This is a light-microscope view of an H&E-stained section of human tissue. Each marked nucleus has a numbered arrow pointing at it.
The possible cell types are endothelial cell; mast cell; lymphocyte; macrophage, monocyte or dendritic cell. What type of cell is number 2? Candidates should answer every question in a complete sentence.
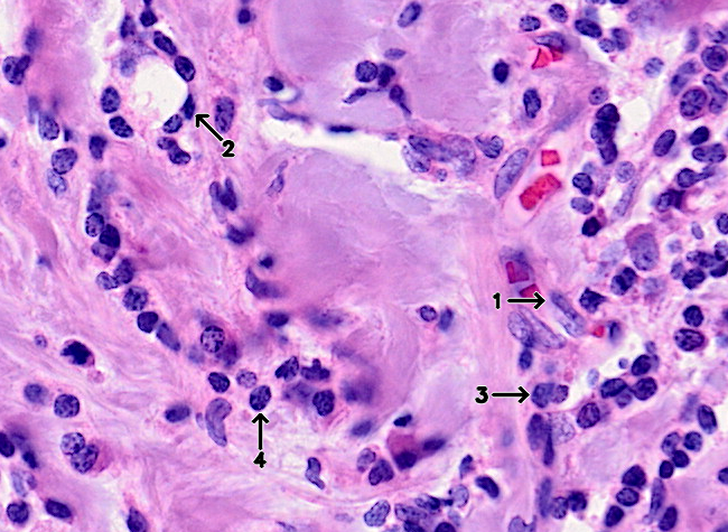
The cell referenced by the number 2 is a lymphocyte in this field.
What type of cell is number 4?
The cell referenced by the number 4 is a lymphocyte in this field.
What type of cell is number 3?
In the tissue shown, cell 3 is a lymphocyte.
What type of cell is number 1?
The cell that carries the label 1 is an endothelial cell.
